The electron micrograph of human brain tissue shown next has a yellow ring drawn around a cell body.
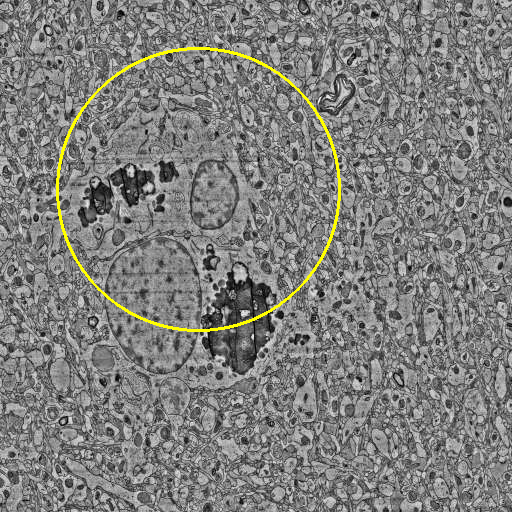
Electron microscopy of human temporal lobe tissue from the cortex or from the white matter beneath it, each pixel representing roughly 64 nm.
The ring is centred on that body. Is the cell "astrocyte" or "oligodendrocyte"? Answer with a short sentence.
The cell in question is an astrocyte.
